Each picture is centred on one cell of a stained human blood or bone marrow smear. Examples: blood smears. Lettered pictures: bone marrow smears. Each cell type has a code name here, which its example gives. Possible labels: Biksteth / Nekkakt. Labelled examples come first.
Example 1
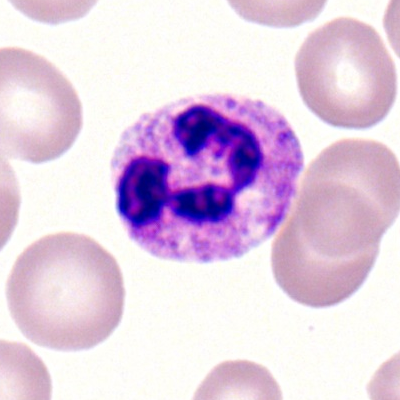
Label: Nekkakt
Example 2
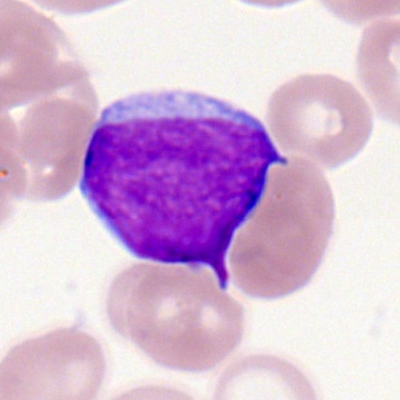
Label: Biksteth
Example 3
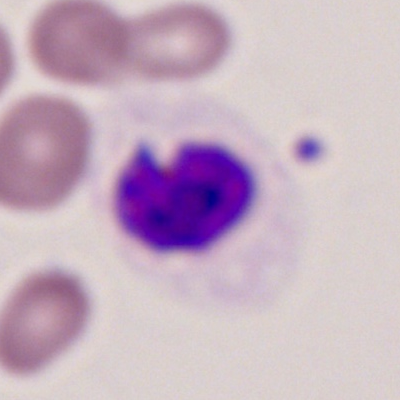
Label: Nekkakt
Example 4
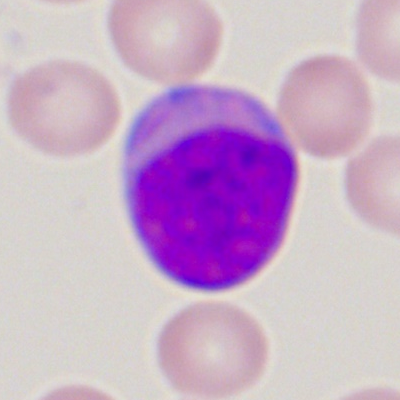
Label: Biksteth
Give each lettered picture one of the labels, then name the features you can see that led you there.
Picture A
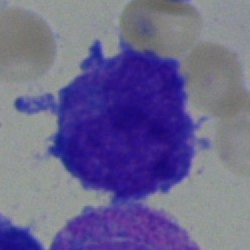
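Biksteth. Evidence: Cytoplasm is scant and hard to separate from the nucleus.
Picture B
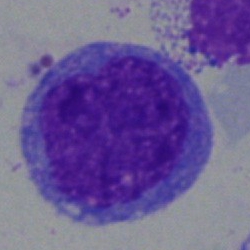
Biksteth. Evidence: The nucleus fills most of the cell.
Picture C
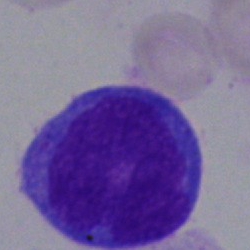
Biksteth. Evidence: The cytoplasm forms only a narrow rim around the nucleus.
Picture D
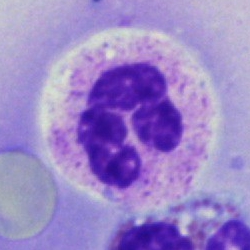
Nekkakt. Evidence: Small pinkish-violet granules are scattered throughout the cytoplasm.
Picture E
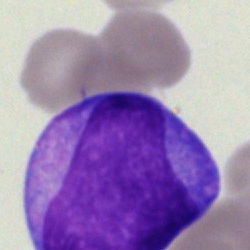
Biksteth. Evidence: The nucleus fills most of the cell, leaving cytoplasm visible as crescents on the left and right sides.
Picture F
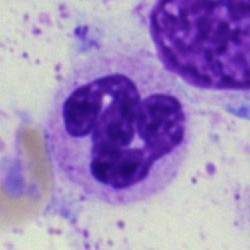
Nekkakt. Evidence: The chromatin is dark purple and coarsely clumped.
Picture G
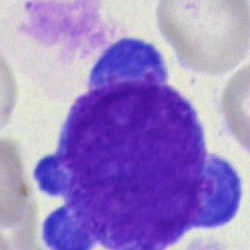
Biksteth. Evidence: The chromatin is finely stippled rather than coarsely clumped.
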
